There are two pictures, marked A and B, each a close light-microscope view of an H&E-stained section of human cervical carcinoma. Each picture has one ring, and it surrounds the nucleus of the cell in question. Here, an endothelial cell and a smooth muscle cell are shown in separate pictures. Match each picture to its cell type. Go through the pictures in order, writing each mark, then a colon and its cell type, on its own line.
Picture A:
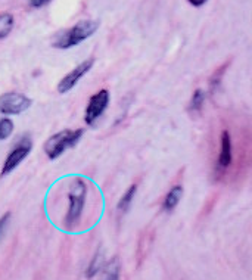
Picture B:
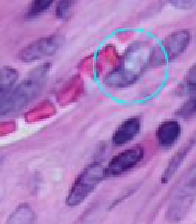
A: smooth muscle cell
B: endothelial cell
